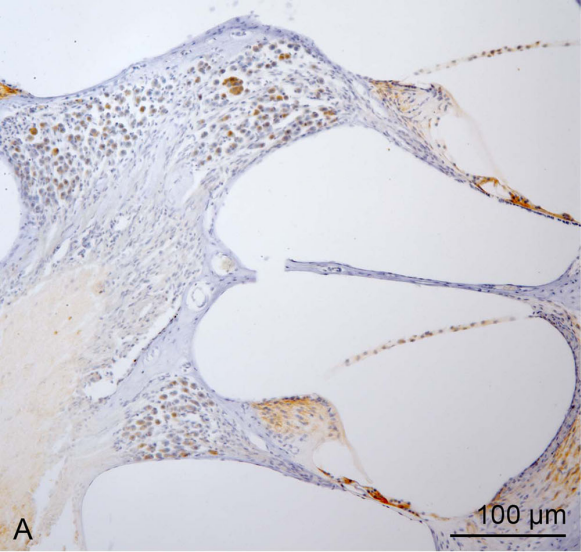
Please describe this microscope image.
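Section of cochlear turns with fluid-filled spaces separated by thin membranes. At left the spiral ganglion, a mass of round neuronal cell bodies, many brown-stained, sits in bony canals beside the pale modiolus. Toward the right the spiral limbus stains light brown, and the organ of Corti on the basilar membrane shows the strongest, red-brown staining. The lateral wall at lower right carries brownish staining. Bone between turns is blue with scattered small nuclei.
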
